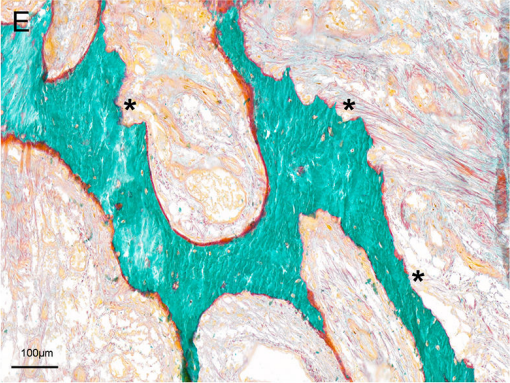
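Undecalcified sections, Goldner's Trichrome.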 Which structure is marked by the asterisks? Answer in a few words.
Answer: Erosion surface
